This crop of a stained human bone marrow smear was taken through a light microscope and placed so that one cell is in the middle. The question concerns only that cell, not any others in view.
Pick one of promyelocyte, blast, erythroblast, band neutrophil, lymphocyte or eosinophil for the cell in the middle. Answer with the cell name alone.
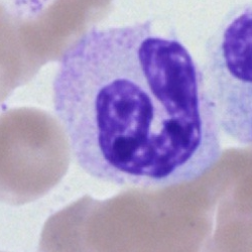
band neutrophil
